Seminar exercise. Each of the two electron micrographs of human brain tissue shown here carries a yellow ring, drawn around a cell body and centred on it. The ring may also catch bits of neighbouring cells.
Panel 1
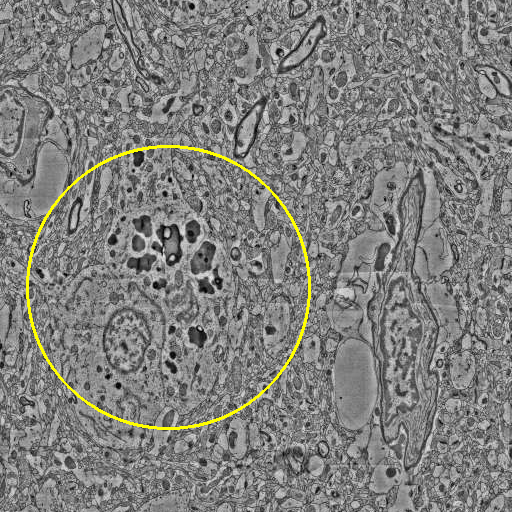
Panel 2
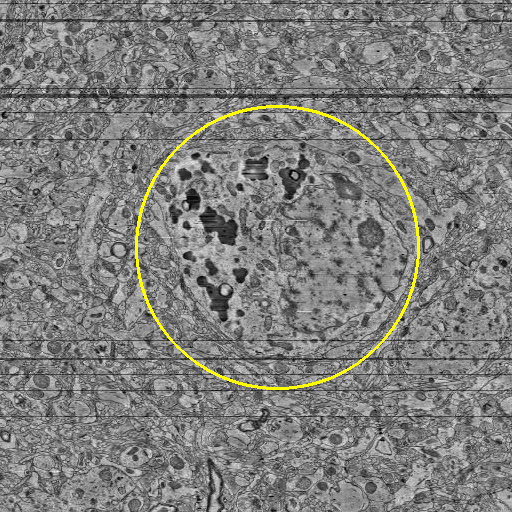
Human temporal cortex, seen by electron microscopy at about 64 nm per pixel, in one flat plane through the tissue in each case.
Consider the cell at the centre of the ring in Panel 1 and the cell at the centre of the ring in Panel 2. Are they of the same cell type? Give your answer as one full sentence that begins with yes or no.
Yes, both cells are of the same type.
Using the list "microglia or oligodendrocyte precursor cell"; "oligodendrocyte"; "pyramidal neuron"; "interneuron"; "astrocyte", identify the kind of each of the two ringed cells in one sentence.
Each cell, in the first picture and the second, is an interneuron.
